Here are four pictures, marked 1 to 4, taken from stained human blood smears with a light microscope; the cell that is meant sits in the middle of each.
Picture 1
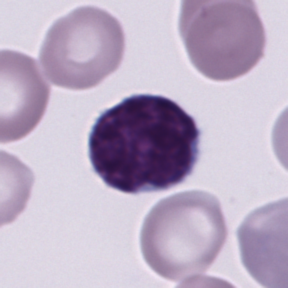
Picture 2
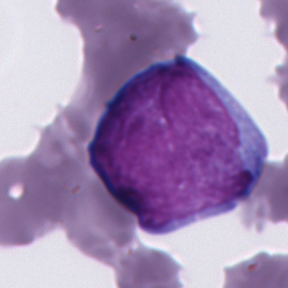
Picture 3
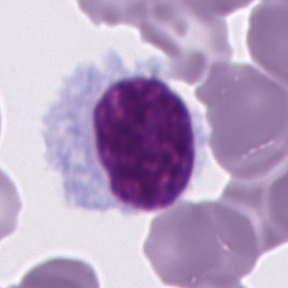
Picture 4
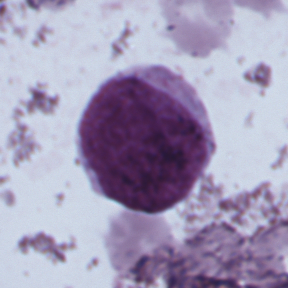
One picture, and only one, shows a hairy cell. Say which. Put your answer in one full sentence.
It is picture 3 that shows the hairy cell.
